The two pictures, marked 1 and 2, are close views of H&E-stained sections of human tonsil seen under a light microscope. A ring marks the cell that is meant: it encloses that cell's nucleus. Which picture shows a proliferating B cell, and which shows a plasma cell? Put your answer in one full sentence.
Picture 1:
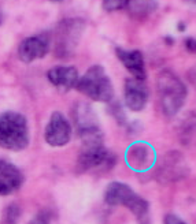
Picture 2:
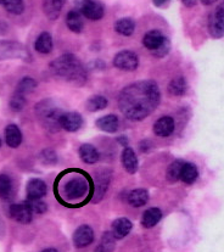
The cell in picture 1 is a proliferating B cell, and the one in picture 2 is a plasma cell.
